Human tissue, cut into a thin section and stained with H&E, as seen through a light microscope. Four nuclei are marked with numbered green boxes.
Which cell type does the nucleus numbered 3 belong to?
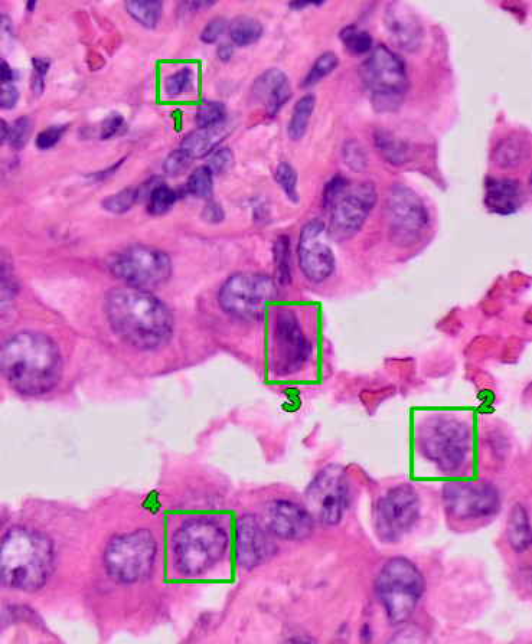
carcinoma cell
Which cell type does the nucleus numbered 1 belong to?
lymphocyte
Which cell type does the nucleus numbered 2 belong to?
carcinoma cell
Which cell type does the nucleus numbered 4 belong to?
carcinoma cell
